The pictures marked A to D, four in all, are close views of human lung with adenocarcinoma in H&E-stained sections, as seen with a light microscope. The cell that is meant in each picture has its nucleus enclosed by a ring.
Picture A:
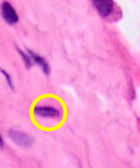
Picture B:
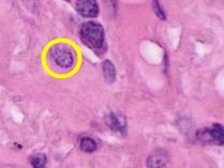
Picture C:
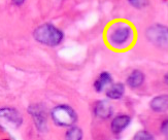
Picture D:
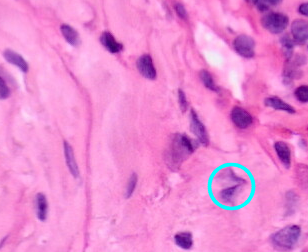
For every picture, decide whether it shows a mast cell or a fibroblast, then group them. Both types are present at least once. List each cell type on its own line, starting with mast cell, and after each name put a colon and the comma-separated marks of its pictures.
mast cell: A, B, C
fibroblast: D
